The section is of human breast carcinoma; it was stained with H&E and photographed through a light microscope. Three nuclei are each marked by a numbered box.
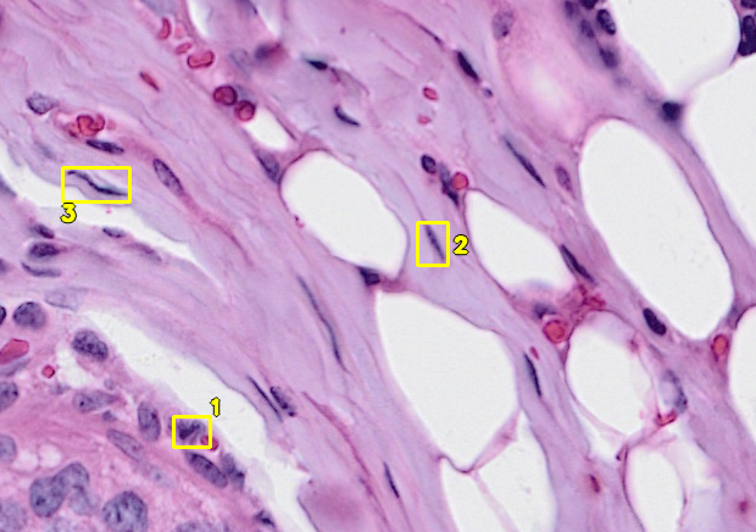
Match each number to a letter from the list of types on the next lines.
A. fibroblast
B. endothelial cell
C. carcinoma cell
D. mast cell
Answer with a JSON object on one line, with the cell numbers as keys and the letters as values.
{"1": "B", "2": "A", "3": "A"}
